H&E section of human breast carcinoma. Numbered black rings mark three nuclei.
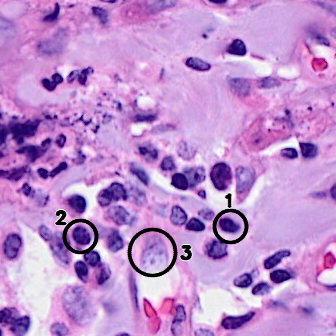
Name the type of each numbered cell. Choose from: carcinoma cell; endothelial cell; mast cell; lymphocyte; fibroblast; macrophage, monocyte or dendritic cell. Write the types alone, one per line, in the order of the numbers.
lymphocyte
lymphocyte
endothelial cell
